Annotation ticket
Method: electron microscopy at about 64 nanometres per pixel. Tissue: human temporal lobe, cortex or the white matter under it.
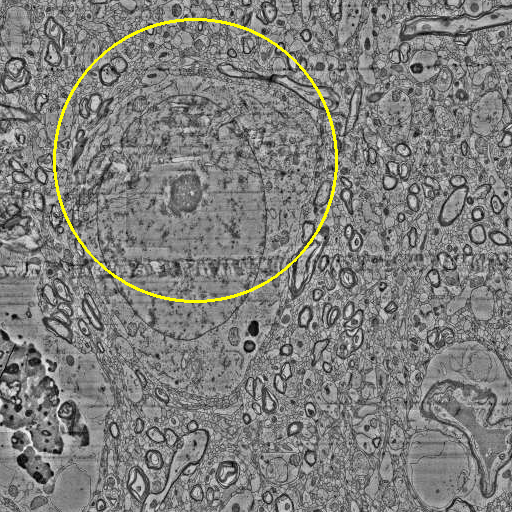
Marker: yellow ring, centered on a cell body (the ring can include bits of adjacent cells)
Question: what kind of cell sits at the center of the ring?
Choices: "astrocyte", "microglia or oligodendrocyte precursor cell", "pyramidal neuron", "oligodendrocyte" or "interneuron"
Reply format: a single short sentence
The ring is centered on a pyramidal neuron.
